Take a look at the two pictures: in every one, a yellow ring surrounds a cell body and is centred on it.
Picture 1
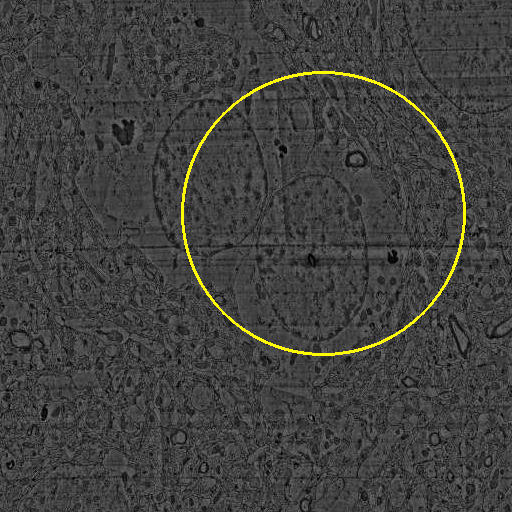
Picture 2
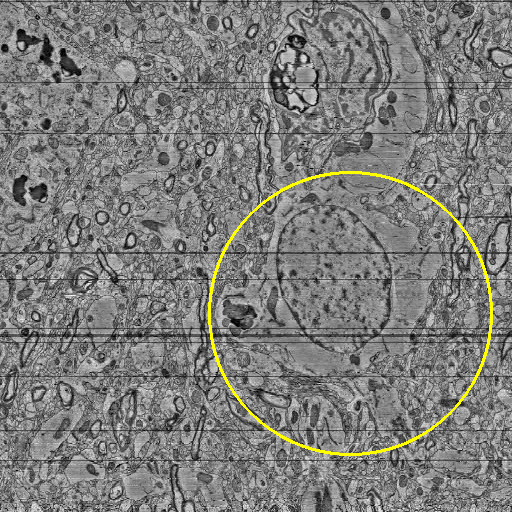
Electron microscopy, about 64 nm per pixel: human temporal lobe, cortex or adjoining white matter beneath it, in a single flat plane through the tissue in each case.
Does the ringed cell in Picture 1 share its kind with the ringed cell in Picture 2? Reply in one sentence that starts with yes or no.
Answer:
Yes, the two centred cells, one per picture, are of one kind.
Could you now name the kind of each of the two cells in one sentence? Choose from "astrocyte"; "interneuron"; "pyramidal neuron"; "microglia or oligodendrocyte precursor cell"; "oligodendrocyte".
Each of the two rings surrounds an astrocyte.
